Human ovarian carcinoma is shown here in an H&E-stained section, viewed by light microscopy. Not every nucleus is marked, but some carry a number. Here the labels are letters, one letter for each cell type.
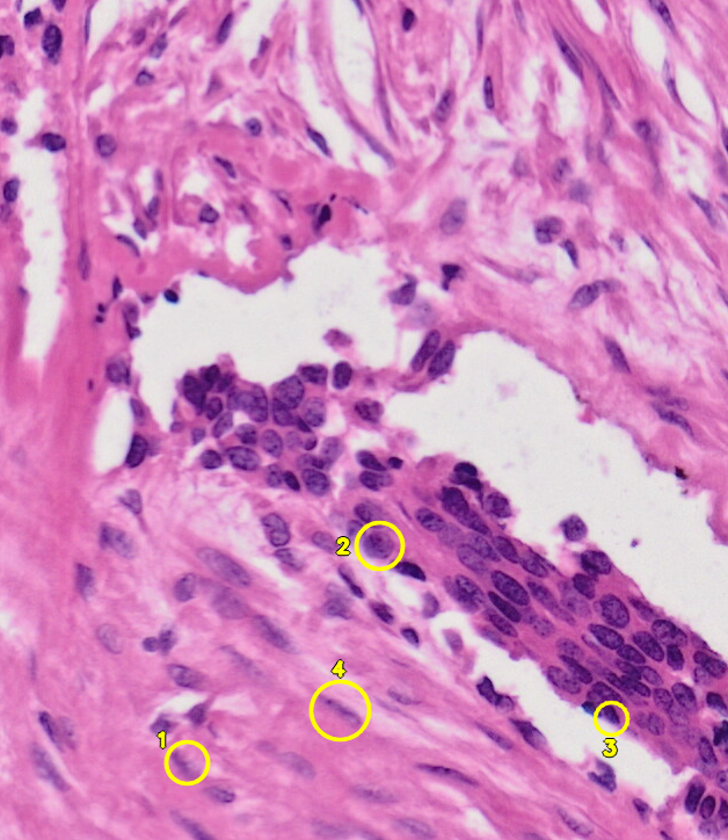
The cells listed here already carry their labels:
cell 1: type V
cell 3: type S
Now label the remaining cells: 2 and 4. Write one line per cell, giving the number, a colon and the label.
2: type S
4: type V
